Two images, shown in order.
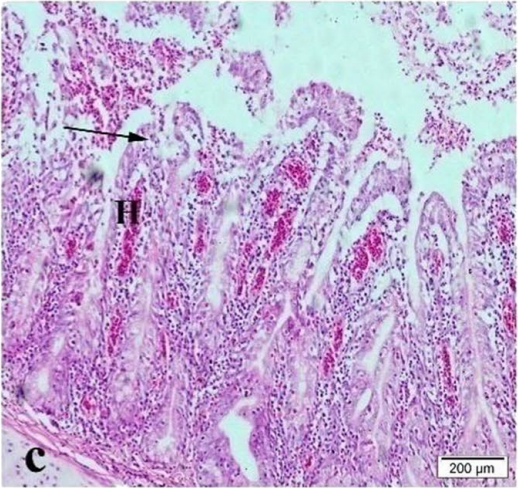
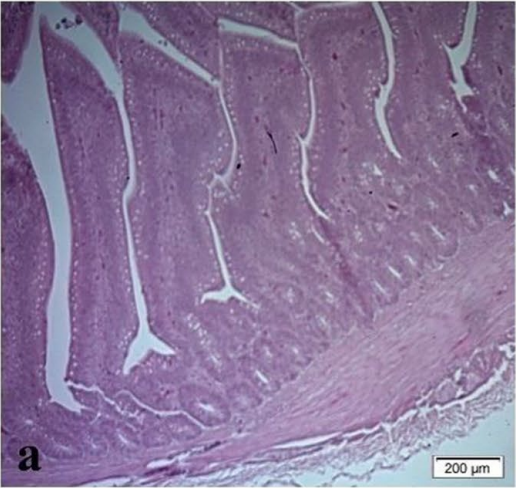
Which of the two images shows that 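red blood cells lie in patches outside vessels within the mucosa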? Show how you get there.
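The first image. First image: many bright red clusters of erythrocytes in the lamina propria of the villi and in the lumen. Second image: villi are pink and uniform with no red cell clusters.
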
